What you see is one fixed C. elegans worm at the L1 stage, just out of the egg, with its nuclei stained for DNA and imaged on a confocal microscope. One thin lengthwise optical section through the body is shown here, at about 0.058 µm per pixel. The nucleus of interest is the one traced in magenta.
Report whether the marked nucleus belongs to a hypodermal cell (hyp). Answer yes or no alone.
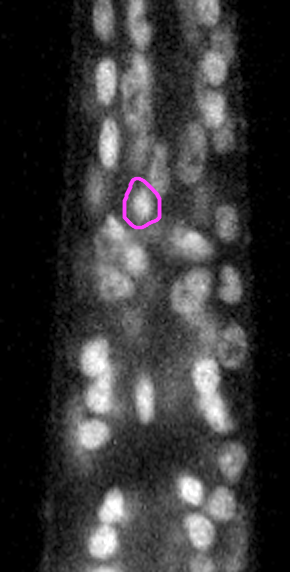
no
